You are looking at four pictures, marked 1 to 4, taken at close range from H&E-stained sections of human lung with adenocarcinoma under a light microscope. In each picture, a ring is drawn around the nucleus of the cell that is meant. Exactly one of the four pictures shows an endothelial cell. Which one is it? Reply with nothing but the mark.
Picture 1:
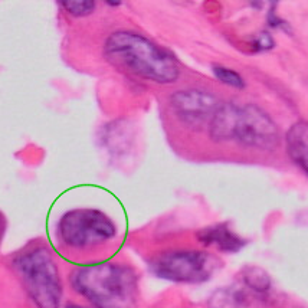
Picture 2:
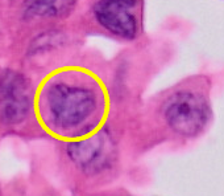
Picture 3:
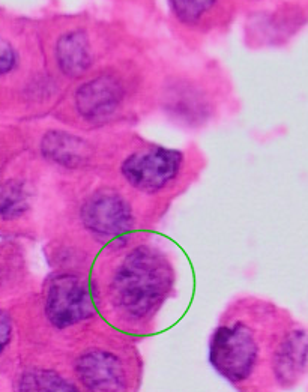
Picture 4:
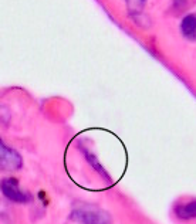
4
